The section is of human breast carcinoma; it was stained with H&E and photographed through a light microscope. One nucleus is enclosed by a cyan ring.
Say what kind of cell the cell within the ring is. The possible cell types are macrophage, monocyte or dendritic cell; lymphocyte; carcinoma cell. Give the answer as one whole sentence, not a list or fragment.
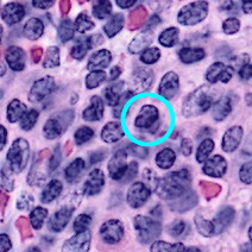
Assigned to a cell type, the cell within the ring is a lymphocyte.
